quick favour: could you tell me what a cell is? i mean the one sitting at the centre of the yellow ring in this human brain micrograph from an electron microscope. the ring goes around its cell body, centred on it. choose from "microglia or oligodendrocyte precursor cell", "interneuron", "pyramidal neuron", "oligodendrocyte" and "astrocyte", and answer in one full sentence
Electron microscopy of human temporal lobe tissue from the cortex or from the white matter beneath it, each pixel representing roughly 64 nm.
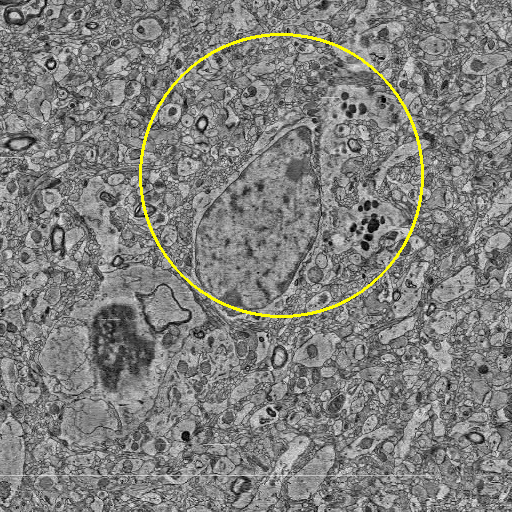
That's a microglial cell or oligodendrocyte precursor cell, the cell sitting at the centre of the yellow ring.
